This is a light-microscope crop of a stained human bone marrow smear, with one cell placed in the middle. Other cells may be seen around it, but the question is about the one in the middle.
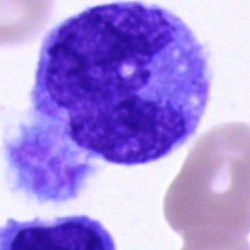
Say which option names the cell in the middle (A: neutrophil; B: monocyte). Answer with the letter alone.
B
